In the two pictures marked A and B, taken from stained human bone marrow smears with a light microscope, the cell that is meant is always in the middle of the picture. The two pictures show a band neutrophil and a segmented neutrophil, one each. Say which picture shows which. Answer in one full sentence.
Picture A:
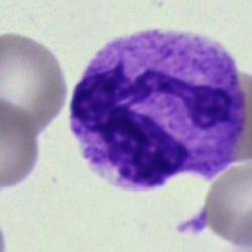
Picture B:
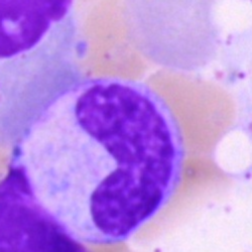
Picture A is of a segmented neutrophil, and picture B is of a band neutrophil.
